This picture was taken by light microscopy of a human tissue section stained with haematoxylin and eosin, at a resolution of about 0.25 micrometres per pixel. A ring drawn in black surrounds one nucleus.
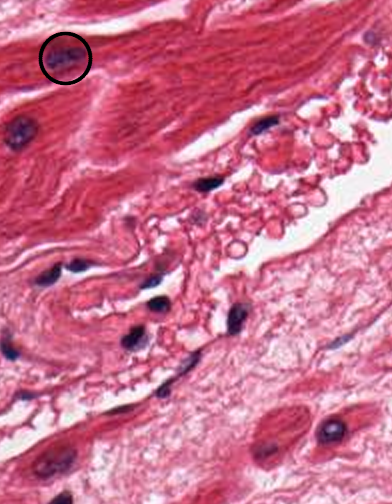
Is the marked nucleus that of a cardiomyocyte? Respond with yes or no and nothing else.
yes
